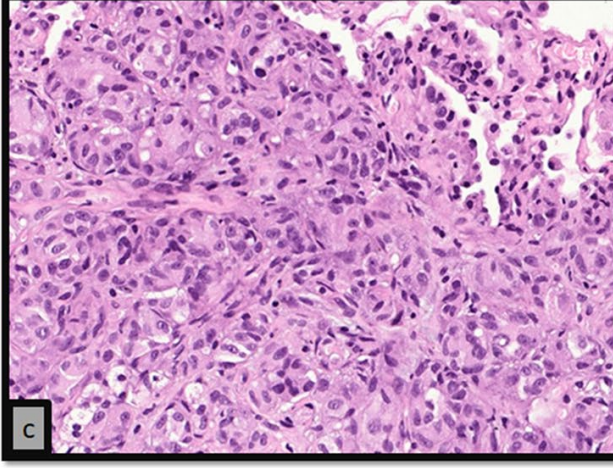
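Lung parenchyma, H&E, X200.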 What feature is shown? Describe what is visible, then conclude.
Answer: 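Tumor cells grouped in solid clusters separated by thin fibrous bands. Thin-walled air spaces at the top edge.
Hence: nested pattern.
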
